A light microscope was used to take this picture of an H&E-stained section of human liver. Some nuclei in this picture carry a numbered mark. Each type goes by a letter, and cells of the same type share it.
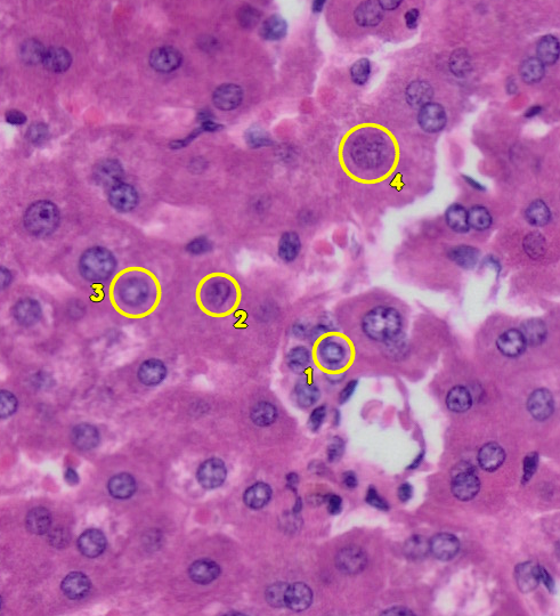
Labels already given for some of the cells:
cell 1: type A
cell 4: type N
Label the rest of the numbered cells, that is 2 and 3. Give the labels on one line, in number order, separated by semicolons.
type N; type N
